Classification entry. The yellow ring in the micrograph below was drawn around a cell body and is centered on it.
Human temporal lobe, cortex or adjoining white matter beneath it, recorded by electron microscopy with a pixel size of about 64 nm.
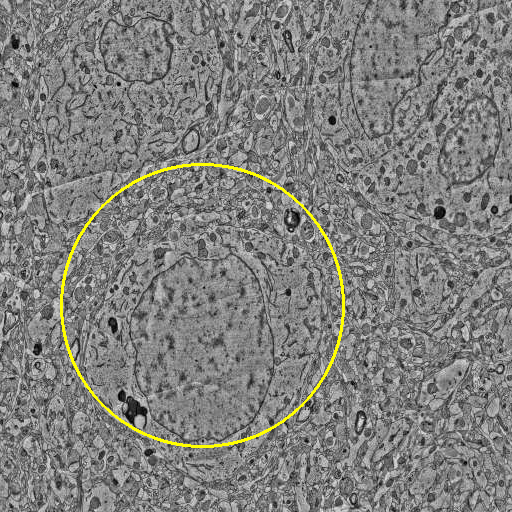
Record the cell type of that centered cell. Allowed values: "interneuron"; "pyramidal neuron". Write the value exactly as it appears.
pyramidal neuron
